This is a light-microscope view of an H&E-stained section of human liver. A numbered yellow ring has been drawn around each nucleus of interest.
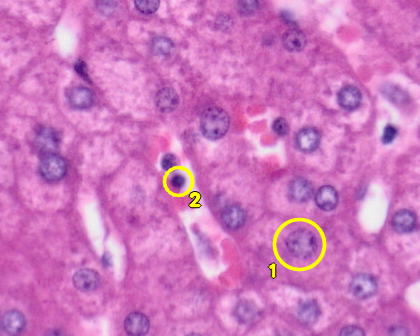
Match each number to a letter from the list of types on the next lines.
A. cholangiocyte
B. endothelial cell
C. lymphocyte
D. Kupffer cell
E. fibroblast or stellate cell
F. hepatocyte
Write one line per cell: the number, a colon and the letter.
1: F
2: C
